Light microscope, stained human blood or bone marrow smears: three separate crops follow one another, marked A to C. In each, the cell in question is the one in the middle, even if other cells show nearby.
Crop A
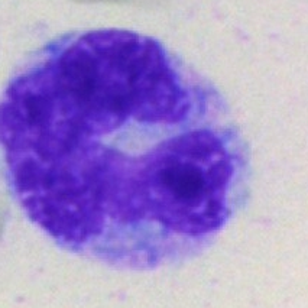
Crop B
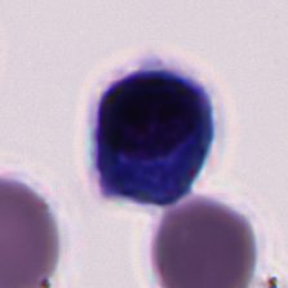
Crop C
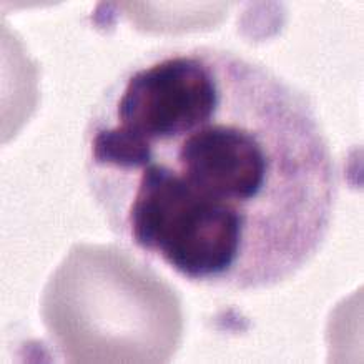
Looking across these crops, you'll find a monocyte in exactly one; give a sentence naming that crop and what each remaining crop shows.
Crop A carries a monocyte in its middle, whereas crop B is a plasma cell and crop C is a segmented neutrophil.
